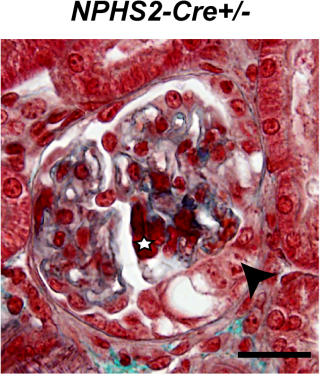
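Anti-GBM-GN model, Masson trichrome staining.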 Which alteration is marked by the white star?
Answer: Endocapillary fibrin deposit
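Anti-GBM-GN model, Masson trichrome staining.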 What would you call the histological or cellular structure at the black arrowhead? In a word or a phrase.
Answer: Crescents.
